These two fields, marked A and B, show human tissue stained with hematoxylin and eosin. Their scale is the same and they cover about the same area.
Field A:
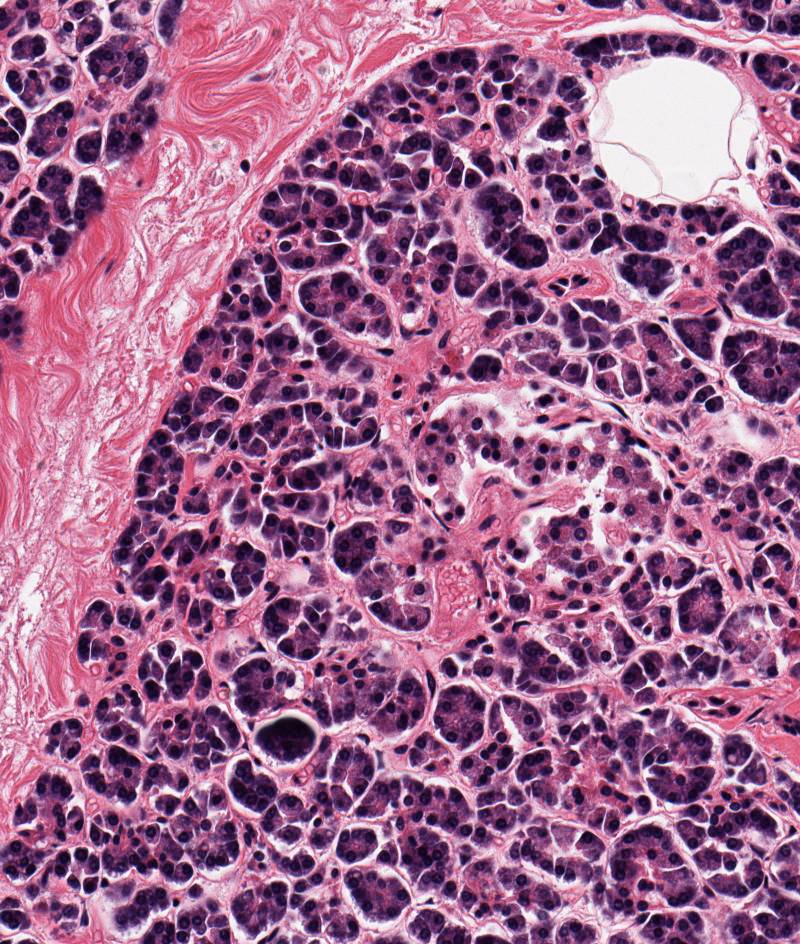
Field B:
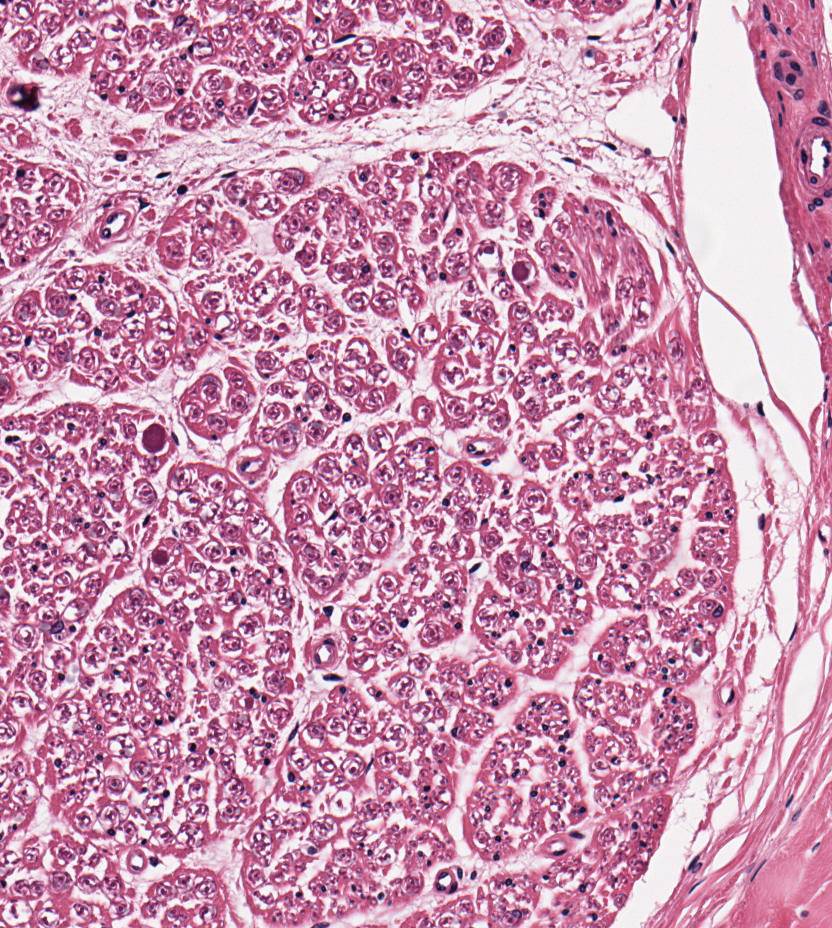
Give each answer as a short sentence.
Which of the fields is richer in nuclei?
The larger number of nuclei is in field A.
